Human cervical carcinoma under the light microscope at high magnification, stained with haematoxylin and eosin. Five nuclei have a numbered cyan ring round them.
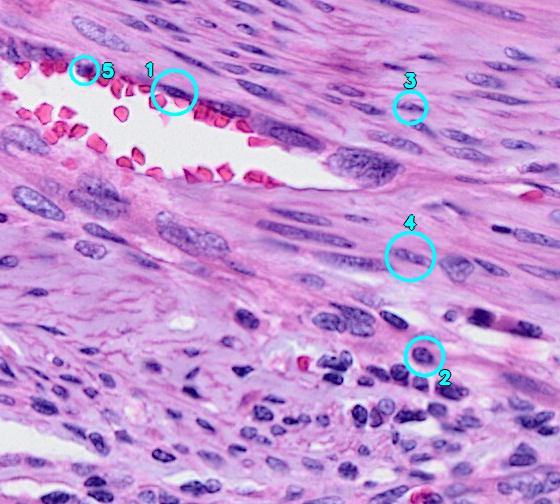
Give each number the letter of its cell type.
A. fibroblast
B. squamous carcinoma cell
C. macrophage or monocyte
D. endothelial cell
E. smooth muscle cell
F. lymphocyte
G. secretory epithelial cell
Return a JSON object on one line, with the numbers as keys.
{"1": "D", "2": "F", "3": "E", "4": "E", "5": "D"}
